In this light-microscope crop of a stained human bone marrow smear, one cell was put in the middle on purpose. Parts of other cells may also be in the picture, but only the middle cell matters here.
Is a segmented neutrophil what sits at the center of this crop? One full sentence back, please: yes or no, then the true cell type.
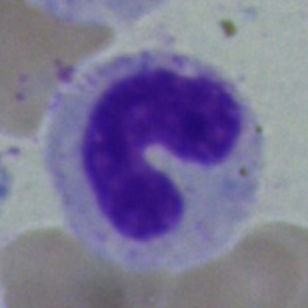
No, instead of a segmented neutrophil, the middle cell is a band neutrophil.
